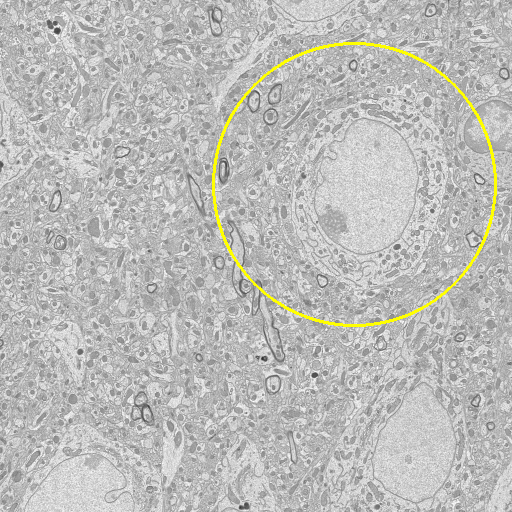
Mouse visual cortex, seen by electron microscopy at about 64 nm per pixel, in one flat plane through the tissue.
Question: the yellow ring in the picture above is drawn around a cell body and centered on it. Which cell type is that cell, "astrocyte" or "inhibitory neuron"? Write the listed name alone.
inhibitory neuron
